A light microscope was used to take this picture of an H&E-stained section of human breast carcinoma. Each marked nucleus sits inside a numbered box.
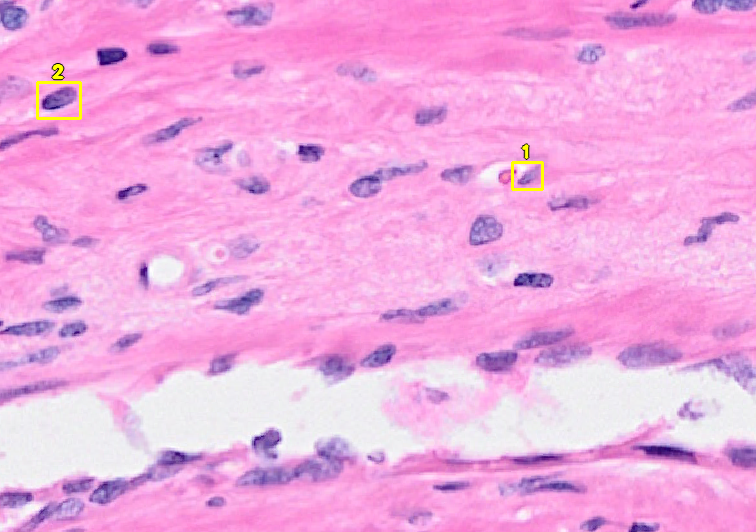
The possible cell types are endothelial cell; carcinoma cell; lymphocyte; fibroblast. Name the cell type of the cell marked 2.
lymphocyte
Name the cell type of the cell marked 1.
endothelial cell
